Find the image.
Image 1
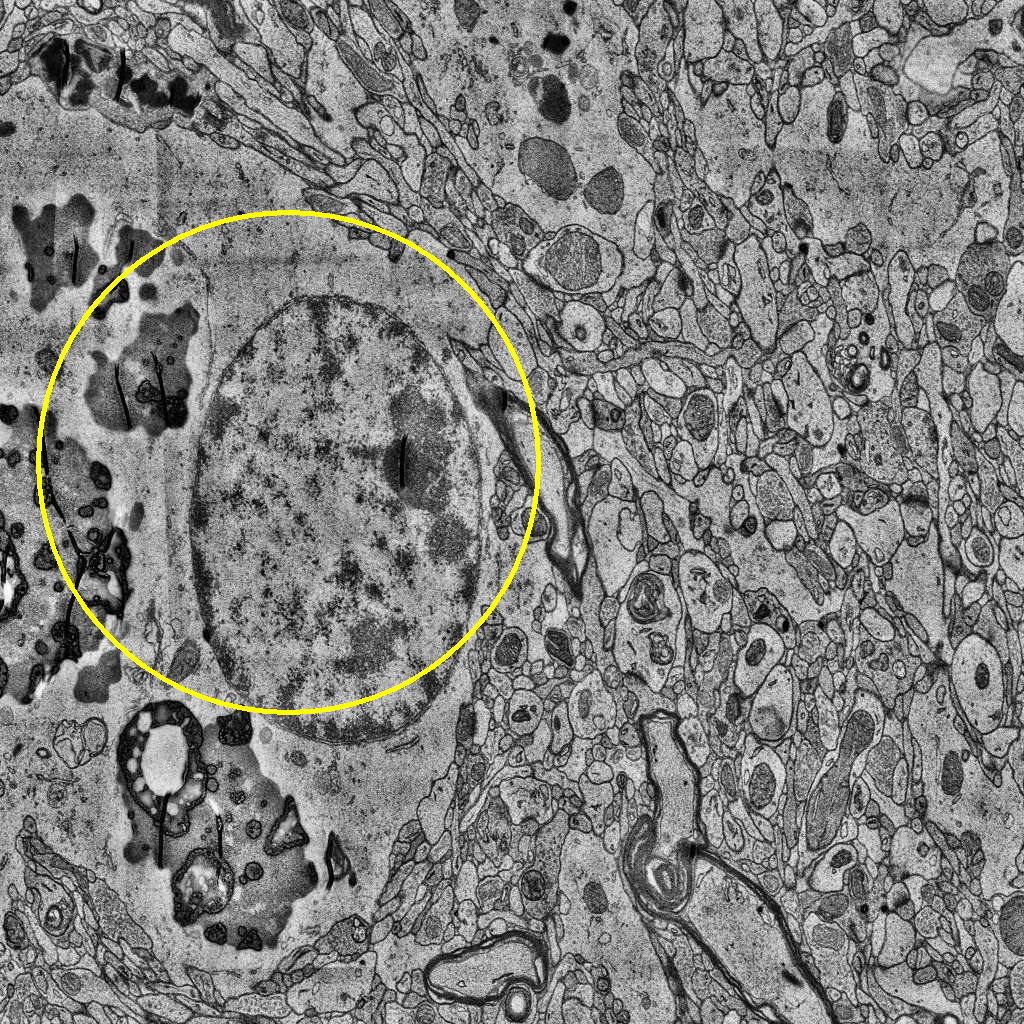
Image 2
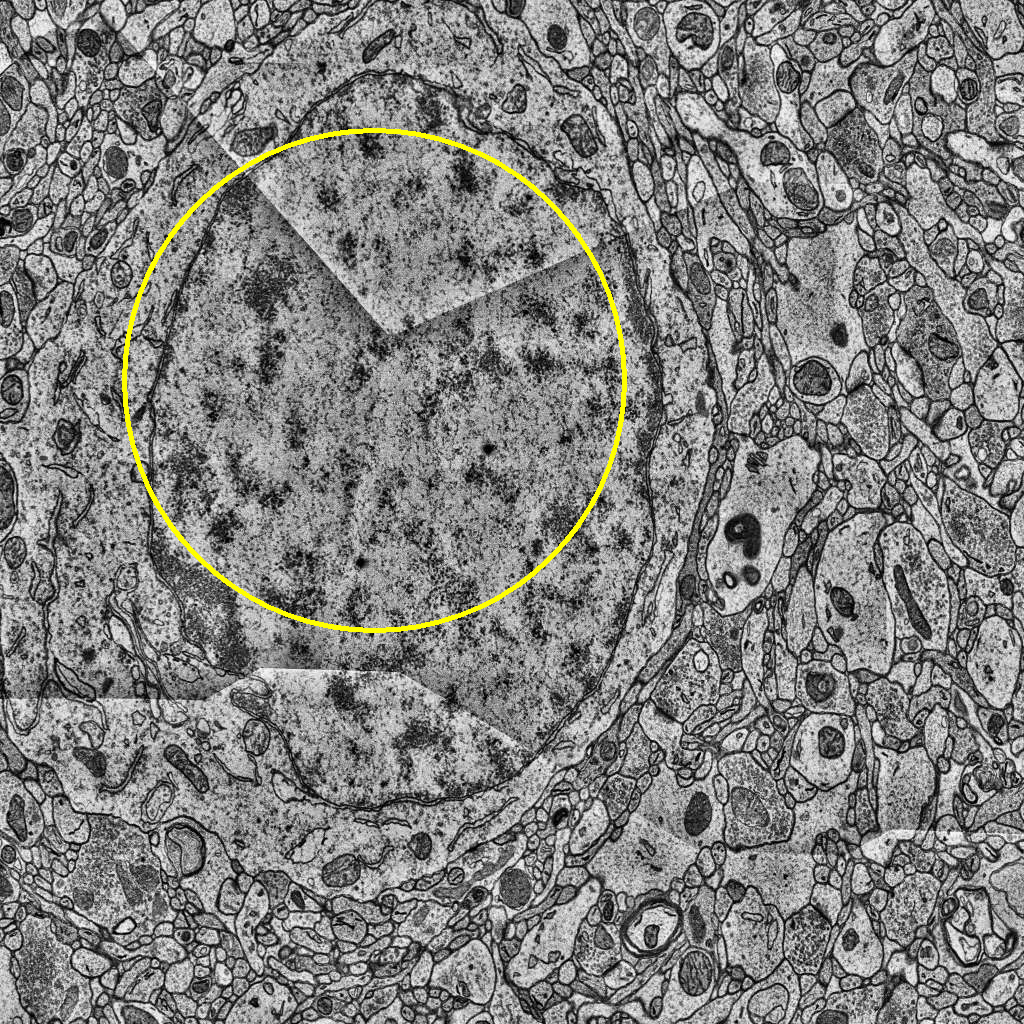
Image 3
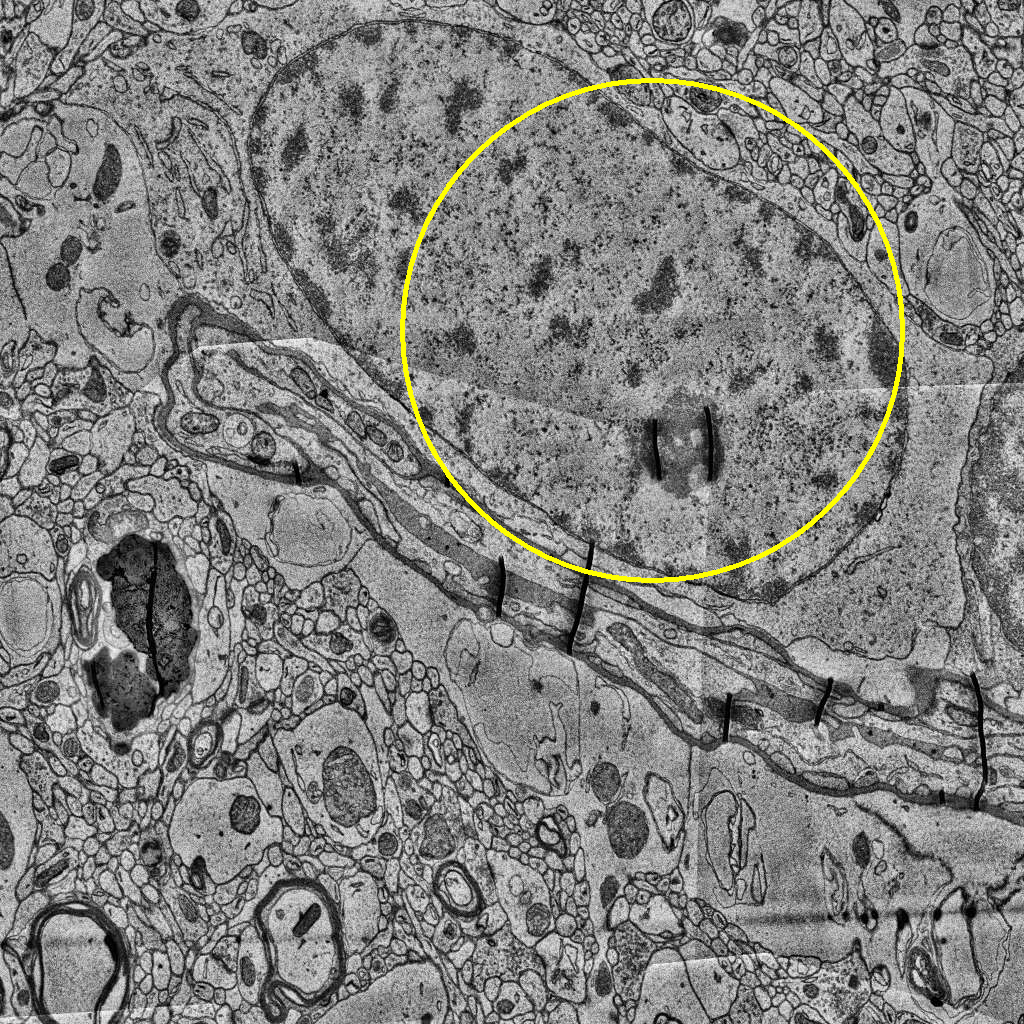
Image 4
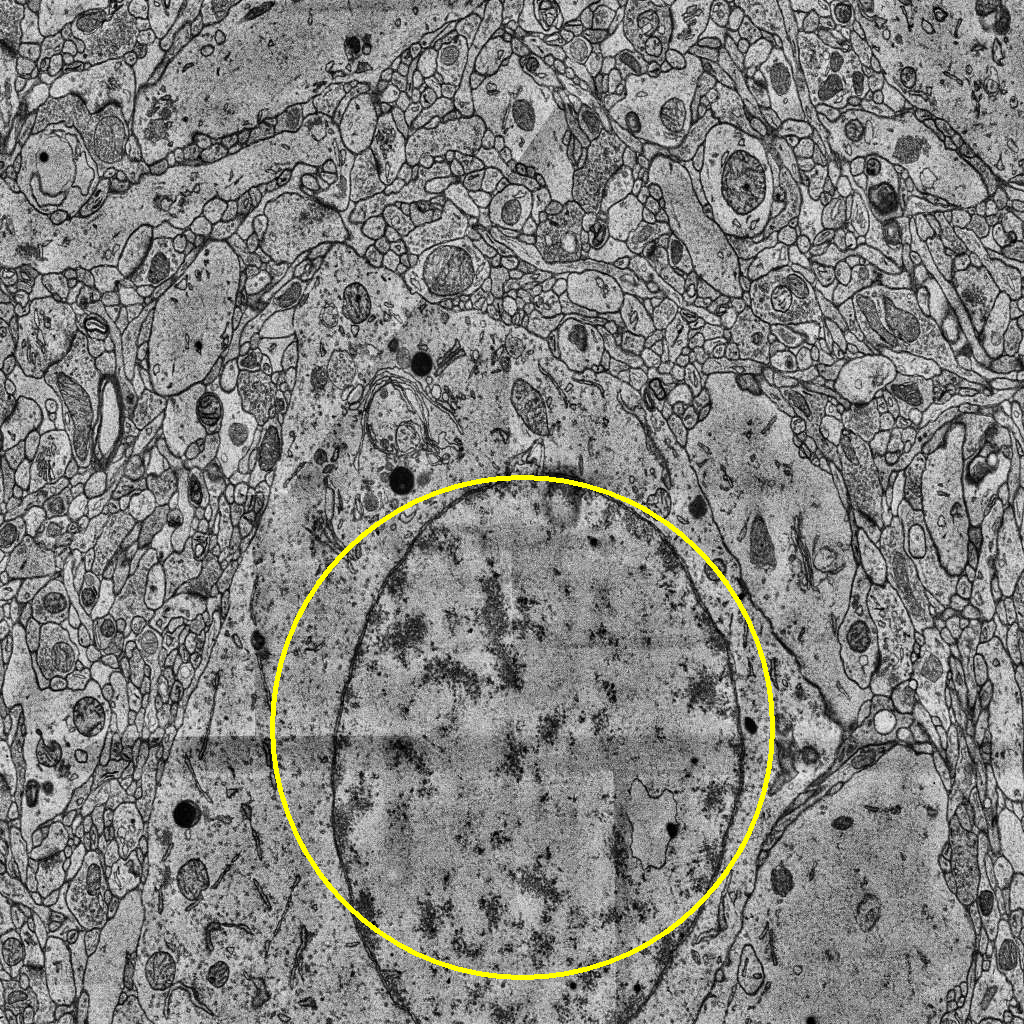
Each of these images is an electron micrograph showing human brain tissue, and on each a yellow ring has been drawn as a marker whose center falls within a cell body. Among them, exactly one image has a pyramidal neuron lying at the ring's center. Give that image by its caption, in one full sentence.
The center of the ring in Image 4 falls within the cell the question describes.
